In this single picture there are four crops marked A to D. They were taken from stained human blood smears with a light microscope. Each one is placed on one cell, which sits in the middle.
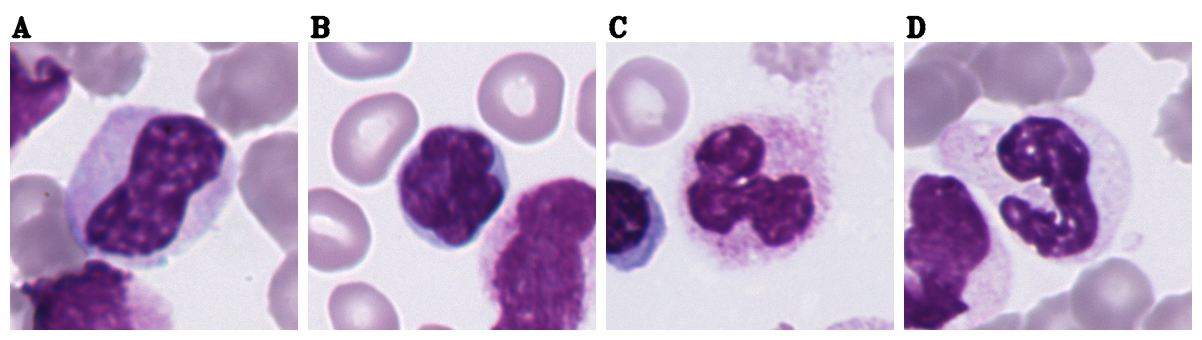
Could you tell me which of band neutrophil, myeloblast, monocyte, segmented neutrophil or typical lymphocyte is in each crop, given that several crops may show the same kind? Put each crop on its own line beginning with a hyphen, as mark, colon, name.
- A: band neutrophil
- B: typical lymphocyte
- C: segmented neutrophil
- D: segmented neutrophil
